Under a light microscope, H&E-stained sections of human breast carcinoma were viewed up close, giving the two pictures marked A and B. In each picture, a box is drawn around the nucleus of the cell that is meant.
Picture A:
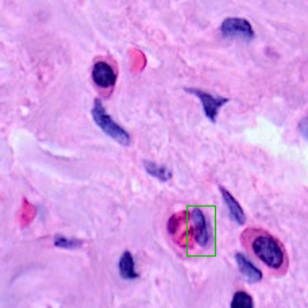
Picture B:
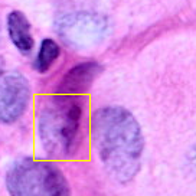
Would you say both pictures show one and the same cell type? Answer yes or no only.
no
